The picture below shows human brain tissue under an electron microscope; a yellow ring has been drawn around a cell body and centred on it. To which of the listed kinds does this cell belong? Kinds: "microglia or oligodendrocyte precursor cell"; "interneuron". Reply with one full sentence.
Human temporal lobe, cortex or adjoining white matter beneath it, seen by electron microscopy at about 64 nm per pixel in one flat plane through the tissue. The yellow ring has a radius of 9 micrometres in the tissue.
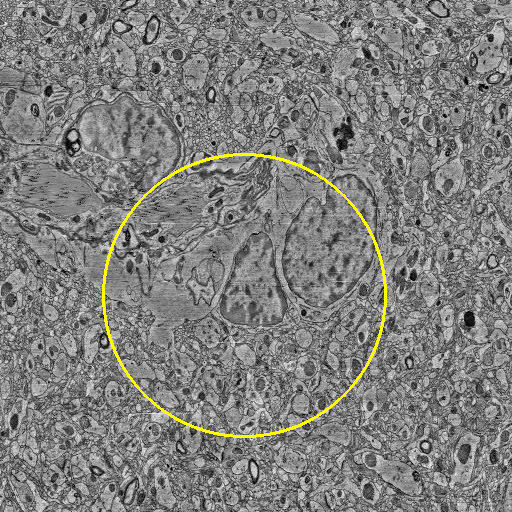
It is a microglial cell or oligodendrocyte precursor cell that the yellow ring in the picture is centred on.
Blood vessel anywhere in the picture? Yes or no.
Yes, one shows.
